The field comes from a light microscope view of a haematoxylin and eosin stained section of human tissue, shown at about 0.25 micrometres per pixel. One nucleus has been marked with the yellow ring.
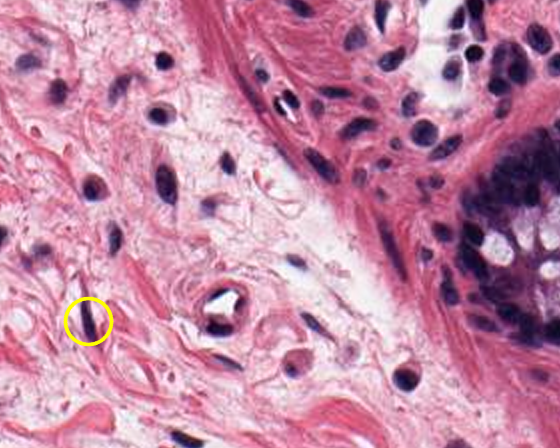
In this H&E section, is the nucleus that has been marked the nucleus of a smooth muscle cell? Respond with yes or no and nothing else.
no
